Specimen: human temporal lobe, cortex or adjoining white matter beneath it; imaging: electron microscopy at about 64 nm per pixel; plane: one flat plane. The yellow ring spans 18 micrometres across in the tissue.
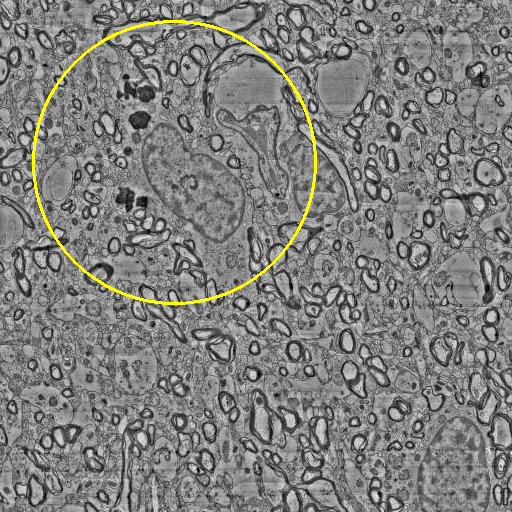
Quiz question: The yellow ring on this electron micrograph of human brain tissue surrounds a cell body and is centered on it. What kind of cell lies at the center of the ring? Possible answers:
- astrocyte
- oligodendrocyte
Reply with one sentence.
The ring's center lies on an oligodendrocyte.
